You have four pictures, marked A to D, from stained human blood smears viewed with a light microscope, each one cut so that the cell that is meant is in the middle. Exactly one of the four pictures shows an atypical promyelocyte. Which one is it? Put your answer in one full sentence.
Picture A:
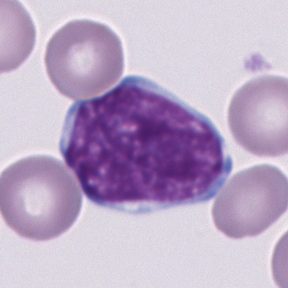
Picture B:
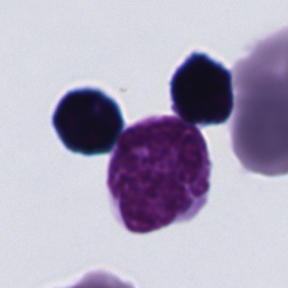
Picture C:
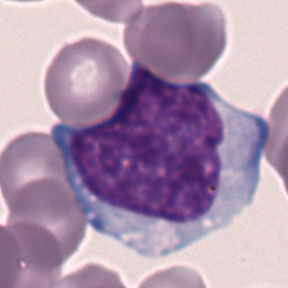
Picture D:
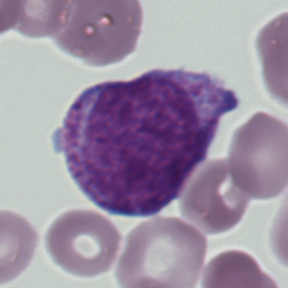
Picture D is the one that shows the atypical promyelocyte.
